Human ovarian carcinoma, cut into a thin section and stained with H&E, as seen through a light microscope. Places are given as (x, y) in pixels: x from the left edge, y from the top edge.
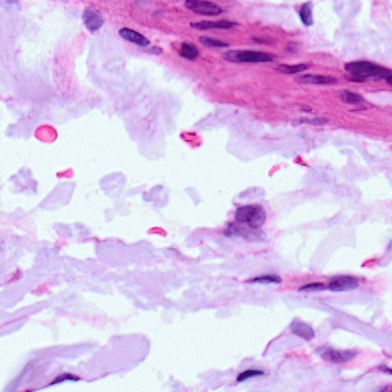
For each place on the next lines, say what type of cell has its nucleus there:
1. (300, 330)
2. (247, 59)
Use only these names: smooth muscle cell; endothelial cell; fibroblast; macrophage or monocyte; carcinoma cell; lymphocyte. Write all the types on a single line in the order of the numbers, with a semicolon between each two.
fibroblast; smooth muscle cell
